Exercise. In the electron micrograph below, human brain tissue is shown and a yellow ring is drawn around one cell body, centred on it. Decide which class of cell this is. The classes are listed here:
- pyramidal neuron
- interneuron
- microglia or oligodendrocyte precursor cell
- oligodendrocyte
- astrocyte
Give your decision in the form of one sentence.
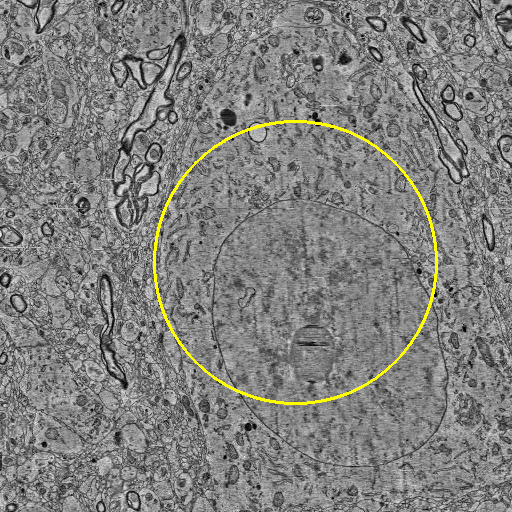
The cell body marked by the ring belongs to a pyramidal neuron.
